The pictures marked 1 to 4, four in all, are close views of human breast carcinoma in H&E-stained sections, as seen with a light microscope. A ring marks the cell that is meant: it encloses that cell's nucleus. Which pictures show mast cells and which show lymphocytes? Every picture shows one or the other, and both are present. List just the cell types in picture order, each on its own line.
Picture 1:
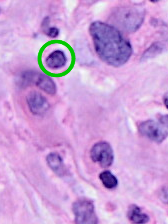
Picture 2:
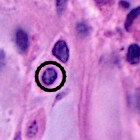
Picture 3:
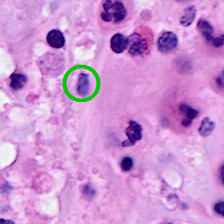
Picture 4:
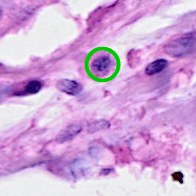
lymphocyte
mast cell
lymphocyte
mast cell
